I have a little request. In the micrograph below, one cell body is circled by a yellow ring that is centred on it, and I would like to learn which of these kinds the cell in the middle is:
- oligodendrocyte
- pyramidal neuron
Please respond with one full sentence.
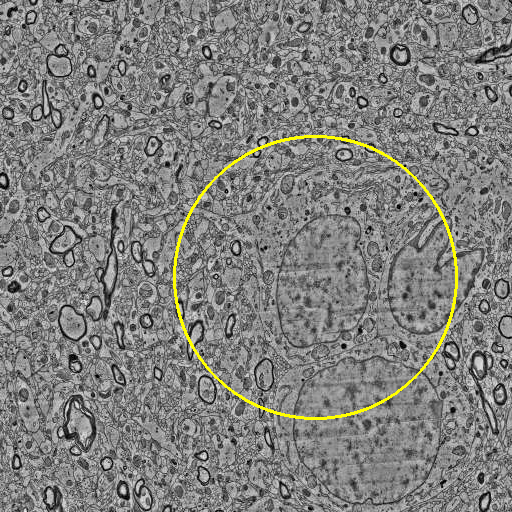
The cell sitting in the middle of the yellow ring in the micrograph is a pyramidal neuron.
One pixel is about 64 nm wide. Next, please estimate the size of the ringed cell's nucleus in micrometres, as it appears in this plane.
The nucleus appears roughly 9 by 6 micrometres in this plane.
